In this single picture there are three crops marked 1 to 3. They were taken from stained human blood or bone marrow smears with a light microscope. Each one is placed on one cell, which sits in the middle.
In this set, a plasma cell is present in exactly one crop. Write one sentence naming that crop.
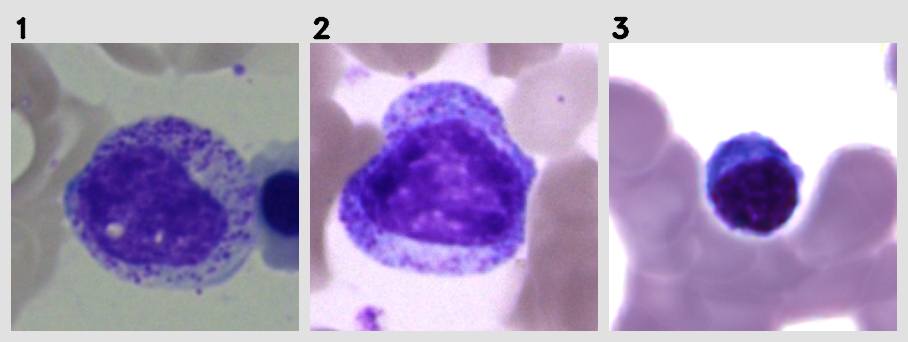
The one showing a plasma cell is crop 3.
